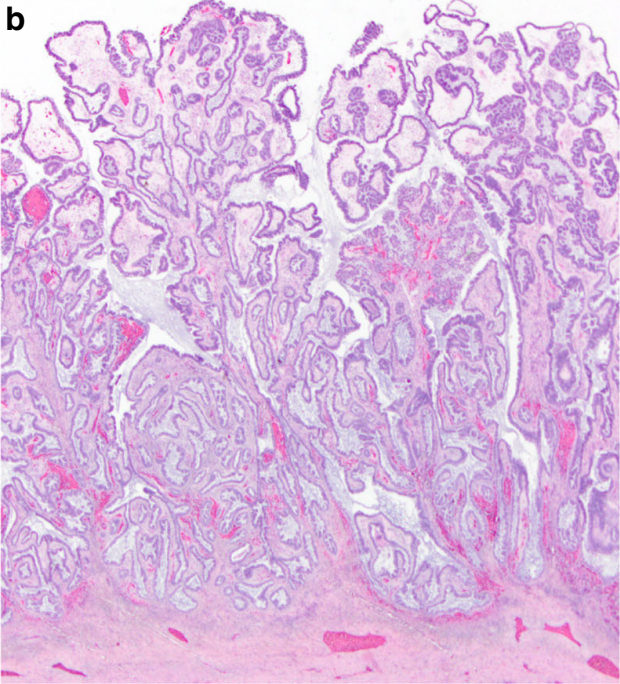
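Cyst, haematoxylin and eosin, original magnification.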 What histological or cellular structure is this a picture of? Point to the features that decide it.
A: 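Branching finger-like fronds project from a common base toward the top. Each frond has a pink stromal core covered by a thin purple epithelial lining. Pale open spaces separate the fronds. That points to this answer: papillary frond-like architecture.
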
